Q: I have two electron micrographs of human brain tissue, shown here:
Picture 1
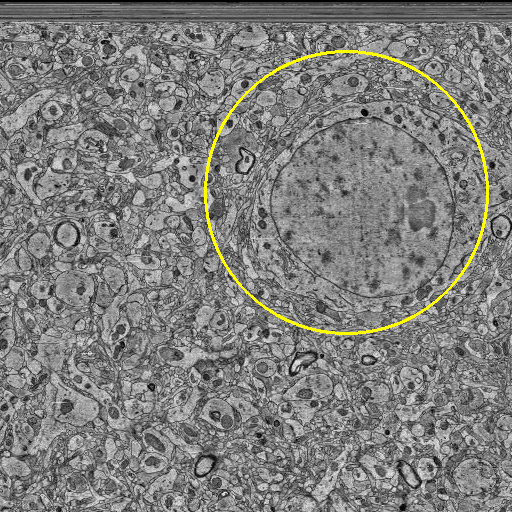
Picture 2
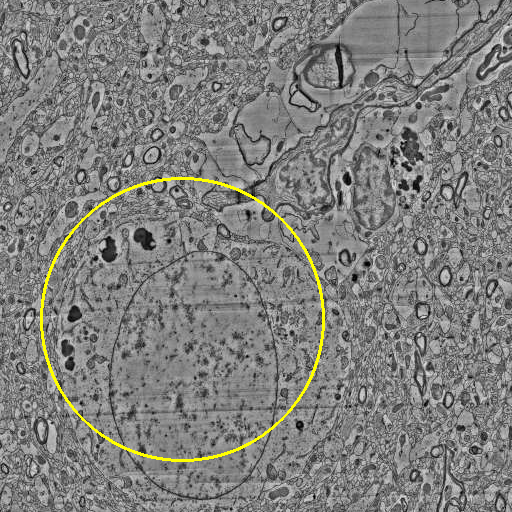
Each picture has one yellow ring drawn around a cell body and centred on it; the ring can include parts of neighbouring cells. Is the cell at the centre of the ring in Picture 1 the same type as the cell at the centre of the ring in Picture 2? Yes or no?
yes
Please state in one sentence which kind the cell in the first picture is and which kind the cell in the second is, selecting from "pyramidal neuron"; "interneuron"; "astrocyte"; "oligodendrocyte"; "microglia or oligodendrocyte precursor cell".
Both the first and the second picture show a pyramidal neuron in the ring.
